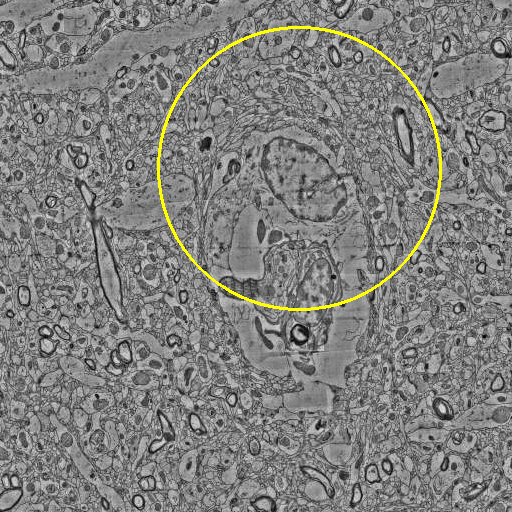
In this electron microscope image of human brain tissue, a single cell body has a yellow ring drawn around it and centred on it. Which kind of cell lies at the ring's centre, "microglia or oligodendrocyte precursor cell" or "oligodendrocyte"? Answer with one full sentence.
It is a microglial cell or oligodendrocyte precursor cell whose cell body lies at the centre of the yellow ring here.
